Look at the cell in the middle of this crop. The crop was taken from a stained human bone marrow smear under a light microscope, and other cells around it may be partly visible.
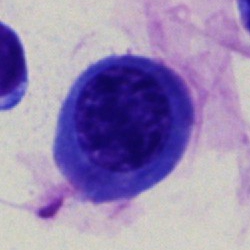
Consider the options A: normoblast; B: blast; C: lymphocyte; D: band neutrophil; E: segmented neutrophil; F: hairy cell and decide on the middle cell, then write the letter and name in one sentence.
The central cell, a normoblast, is correctly identified by option A.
